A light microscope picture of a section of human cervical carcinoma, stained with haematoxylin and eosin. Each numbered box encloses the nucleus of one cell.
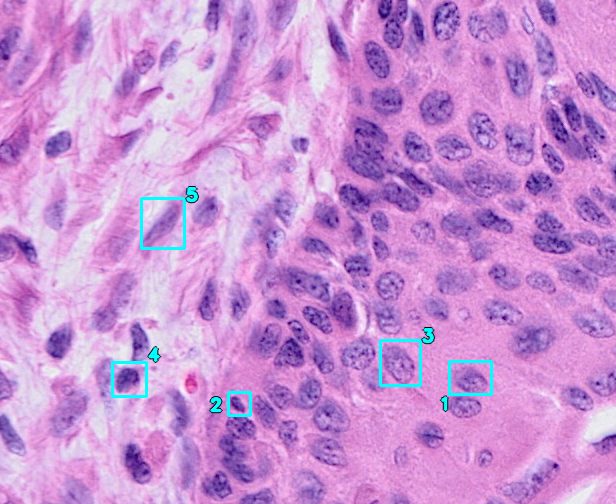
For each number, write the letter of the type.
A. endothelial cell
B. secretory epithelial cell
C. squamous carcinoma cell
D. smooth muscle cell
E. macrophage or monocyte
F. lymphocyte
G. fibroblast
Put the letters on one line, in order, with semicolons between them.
C; C; C; F; G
